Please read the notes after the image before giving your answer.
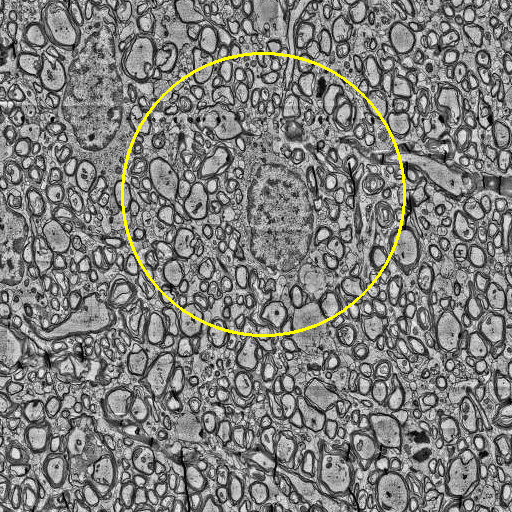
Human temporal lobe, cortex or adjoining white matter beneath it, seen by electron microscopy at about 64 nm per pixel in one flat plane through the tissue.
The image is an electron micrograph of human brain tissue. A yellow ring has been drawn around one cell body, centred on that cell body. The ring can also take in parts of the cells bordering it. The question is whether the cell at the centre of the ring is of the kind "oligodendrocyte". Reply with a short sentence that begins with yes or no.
Yes, the cell at the centre is of that kind.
